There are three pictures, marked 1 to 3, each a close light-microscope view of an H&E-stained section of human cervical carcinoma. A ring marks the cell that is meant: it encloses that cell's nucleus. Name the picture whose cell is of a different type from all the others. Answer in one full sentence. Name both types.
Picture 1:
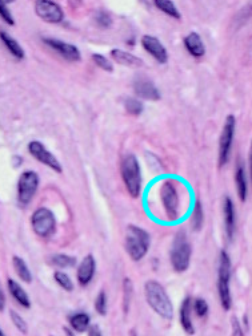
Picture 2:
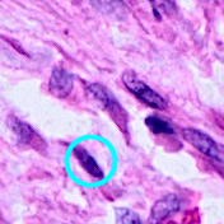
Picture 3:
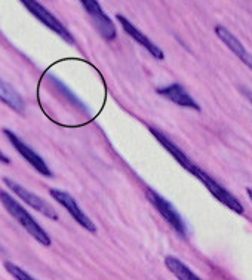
Picture 2 differs, because its cell is a fibroblast and the rest are endothelial cells.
